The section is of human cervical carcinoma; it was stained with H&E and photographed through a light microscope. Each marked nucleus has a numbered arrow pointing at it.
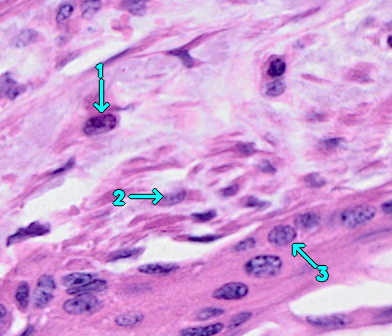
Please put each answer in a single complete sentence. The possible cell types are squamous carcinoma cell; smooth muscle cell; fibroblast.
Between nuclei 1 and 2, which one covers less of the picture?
Nucleus 2 covers less area, with nucleus 1 about 2 times as large.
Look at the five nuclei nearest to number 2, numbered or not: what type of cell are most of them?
Fibroblasts make up most of the five nuclei closest to number 2.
